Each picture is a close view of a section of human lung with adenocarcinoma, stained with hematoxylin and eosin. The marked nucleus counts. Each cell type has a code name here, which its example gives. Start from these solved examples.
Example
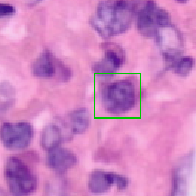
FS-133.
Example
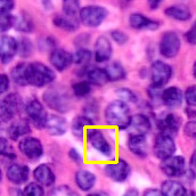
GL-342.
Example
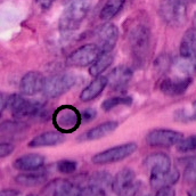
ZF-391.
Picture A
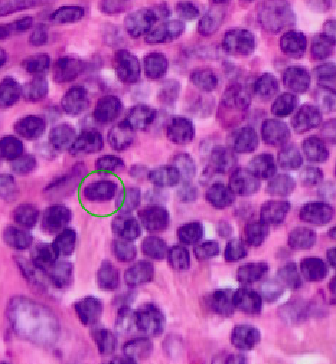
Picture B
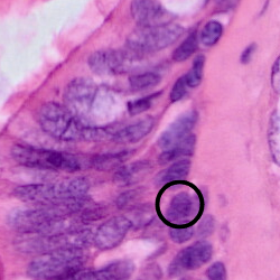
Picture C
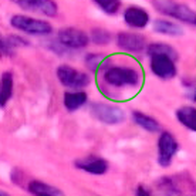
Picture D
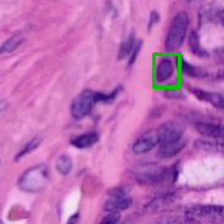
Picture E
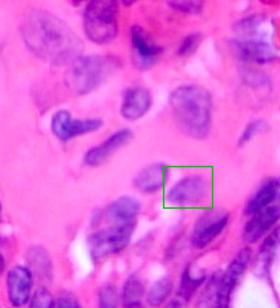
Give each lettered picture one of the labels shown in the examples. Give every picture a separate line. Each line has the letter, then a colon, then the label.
A: GL-342.
B: ZF-391.
C: FS-133.
D: ZF-391.
E: ZF-391.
